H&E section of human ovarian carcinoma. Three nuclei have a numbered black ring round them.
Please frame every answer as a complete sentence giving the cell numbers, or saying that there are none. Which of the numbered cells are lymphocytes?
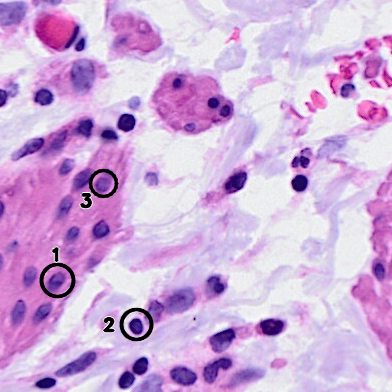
The numbered cells include exactly one that is a lymphocyte, which is cell 2.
